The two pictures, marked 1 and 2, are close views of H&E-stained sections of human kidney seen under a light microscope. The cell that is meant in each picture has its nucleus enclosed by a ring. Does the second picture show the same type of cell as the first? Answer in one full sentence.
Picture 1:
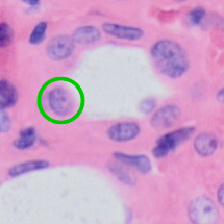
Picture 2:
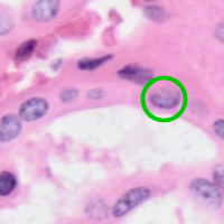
Yes, both are collecting duct cells.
